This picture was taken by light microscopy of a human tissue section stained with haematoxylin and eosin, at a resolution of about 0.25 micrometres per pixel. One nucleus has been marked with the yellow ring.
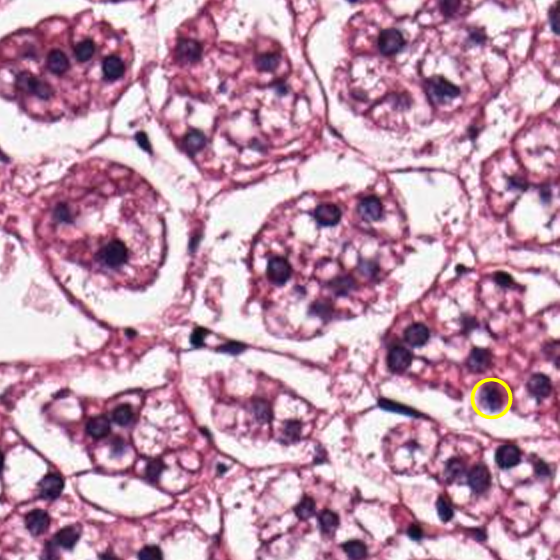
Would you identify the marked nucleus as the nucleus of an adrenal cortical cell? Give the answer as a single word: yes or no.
yes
